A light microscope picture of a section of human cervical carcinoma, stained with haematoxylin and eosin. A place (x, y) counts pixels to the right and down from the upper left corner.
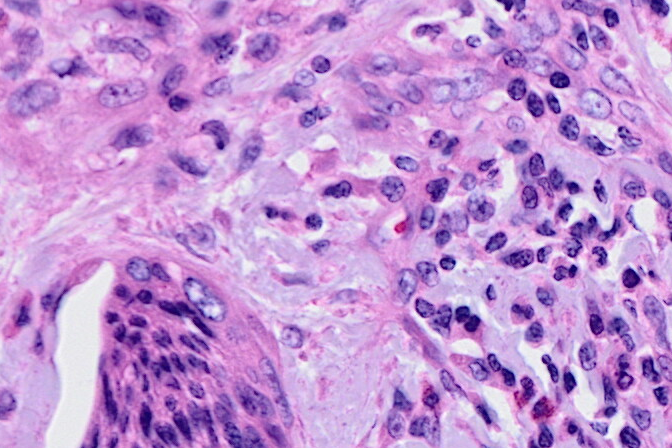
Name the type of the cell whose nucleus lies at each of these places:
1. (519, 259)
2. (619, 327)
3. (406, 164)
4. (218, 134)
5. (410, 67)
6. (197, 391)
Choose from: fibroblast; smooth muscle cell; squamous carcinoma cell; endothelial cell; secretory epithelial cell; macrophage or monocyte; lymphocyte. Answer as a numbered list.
1. lymphocyte
2. lymphocyte
3. lymphocyte
4. macrophage or monocyte
5. endothelial cell
6. squamous carcinoma cell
